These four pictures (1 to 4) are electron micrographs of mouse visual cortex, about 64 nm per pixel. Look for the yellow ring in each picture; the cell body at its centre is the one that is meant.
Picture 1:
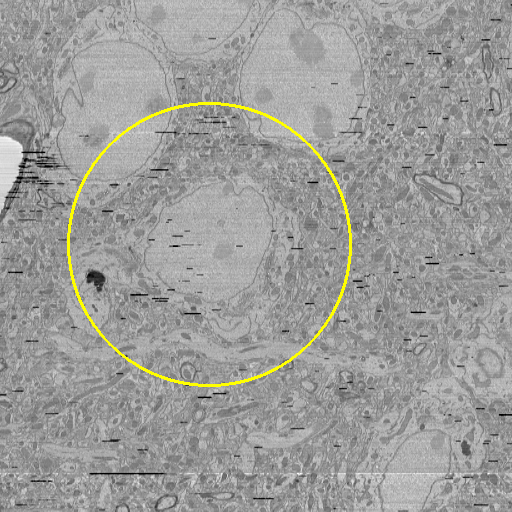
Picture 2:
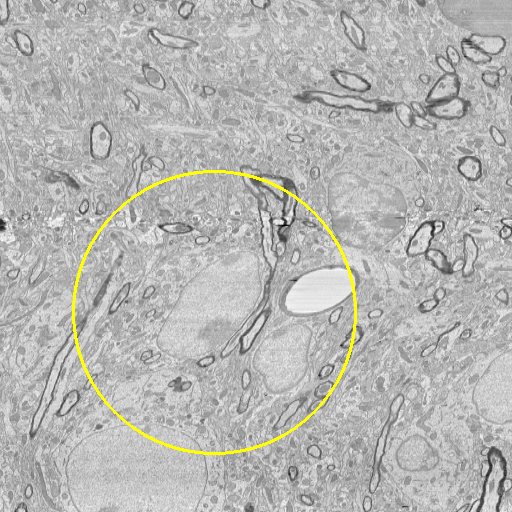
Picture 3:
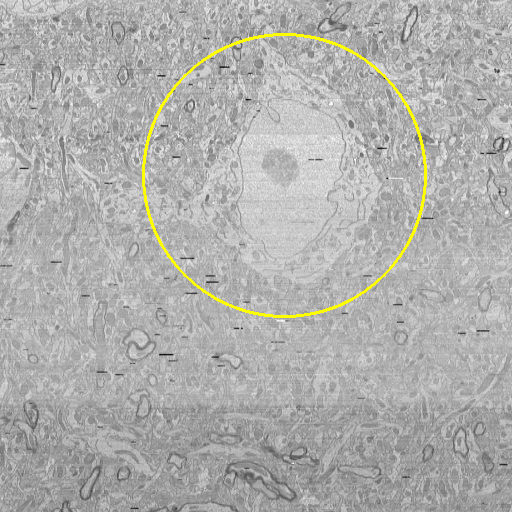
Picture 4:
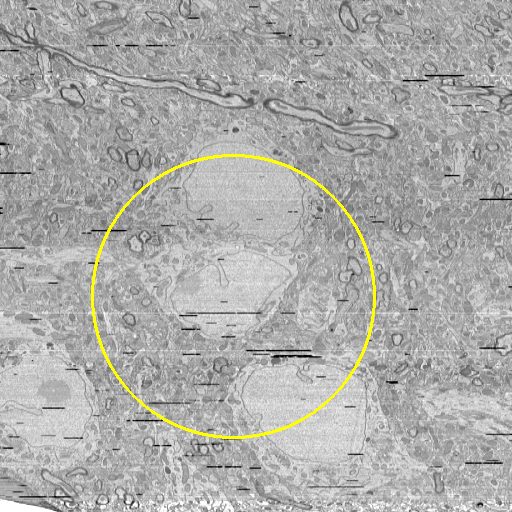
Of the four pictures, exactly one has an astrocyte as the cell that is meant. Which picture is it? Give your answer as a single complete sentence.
Picture 2 shows the astrocyte.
